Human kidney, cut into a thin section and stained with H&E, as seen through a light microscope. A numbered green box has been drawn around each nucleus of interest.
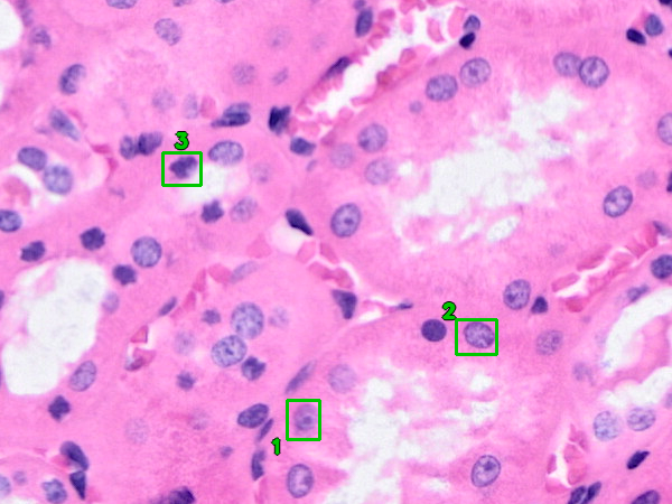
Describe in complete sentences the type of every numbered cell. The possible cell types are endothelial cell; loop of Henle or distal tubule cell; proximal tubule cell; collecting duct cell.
Cells 1 and 2 are proximal tubule cells. Cell 3 is a loop of Henle or distal tubule cell.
